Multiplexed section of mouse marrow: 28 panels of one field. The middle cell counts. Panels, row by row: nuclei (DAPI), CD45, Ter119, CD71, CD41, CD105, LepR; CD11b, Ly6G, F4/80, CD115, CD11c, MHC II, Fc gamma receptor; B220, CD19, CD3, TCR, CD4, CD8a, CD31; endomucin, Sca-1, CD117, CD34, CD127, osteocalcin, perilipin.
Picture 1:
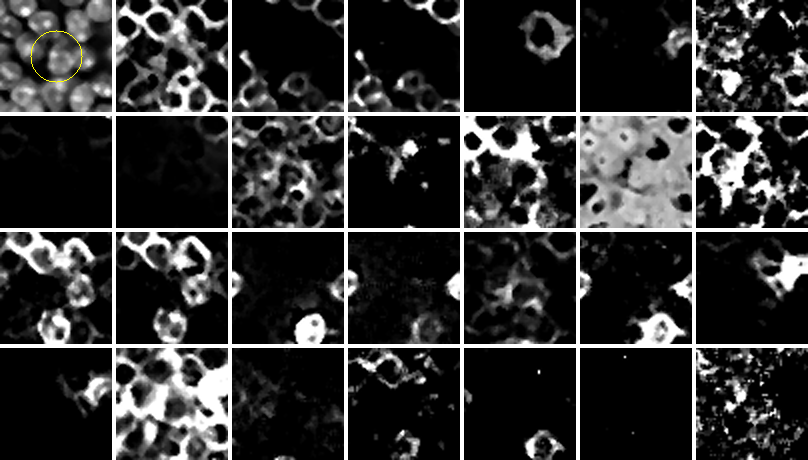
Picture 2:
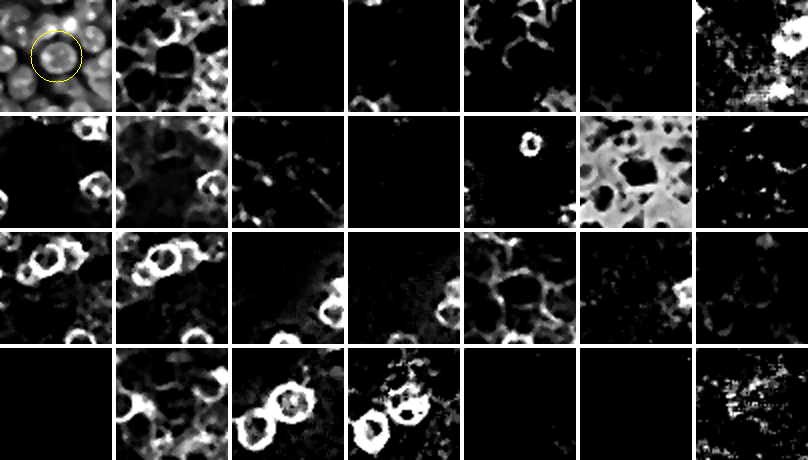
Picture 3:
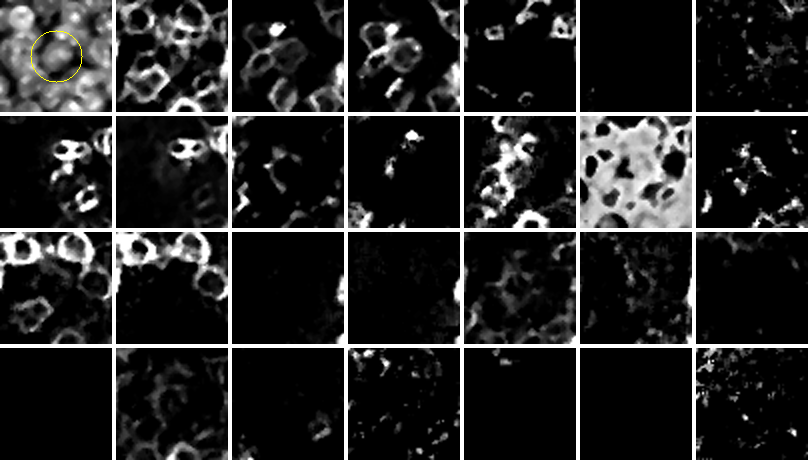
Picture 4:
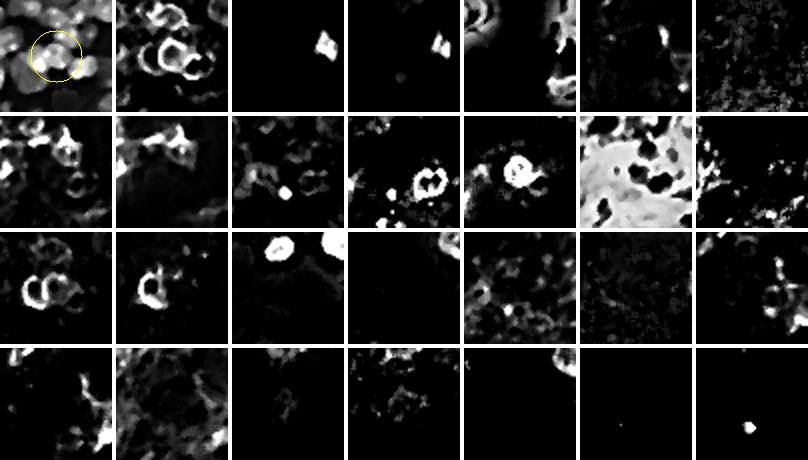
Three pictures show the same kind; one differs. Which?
Picture 2: a KLS stem or progenitor cell, while the others are conventional dendritic cells.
